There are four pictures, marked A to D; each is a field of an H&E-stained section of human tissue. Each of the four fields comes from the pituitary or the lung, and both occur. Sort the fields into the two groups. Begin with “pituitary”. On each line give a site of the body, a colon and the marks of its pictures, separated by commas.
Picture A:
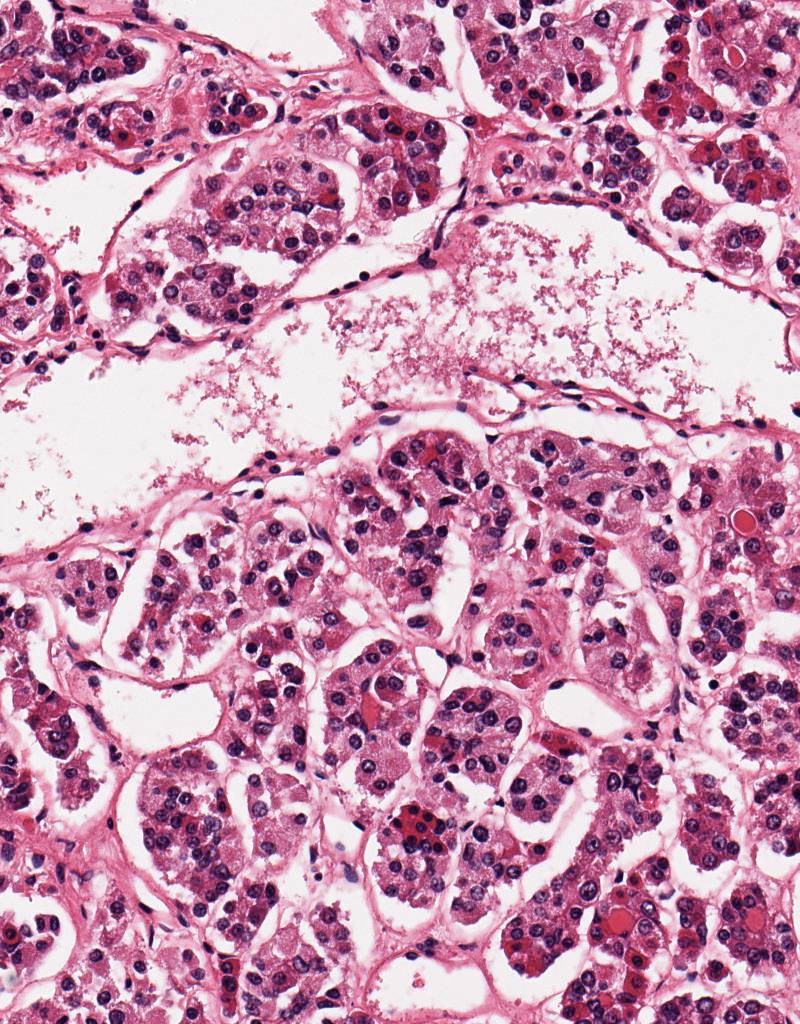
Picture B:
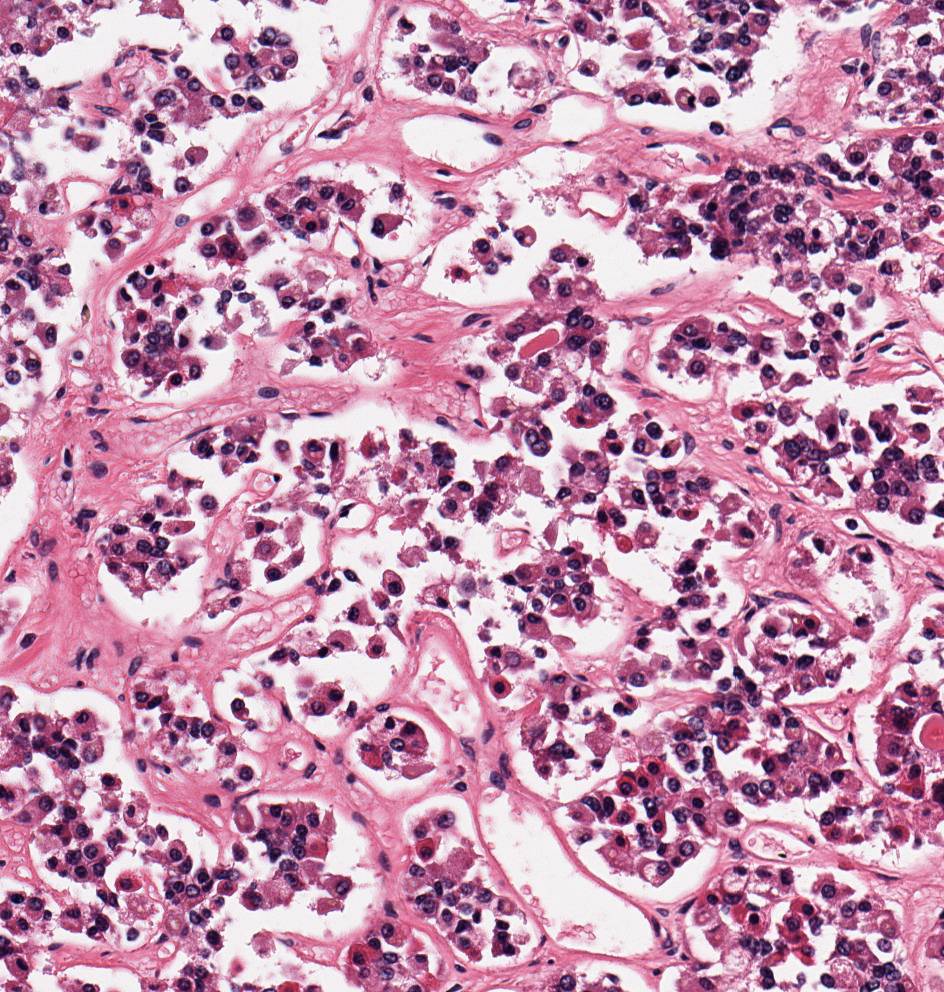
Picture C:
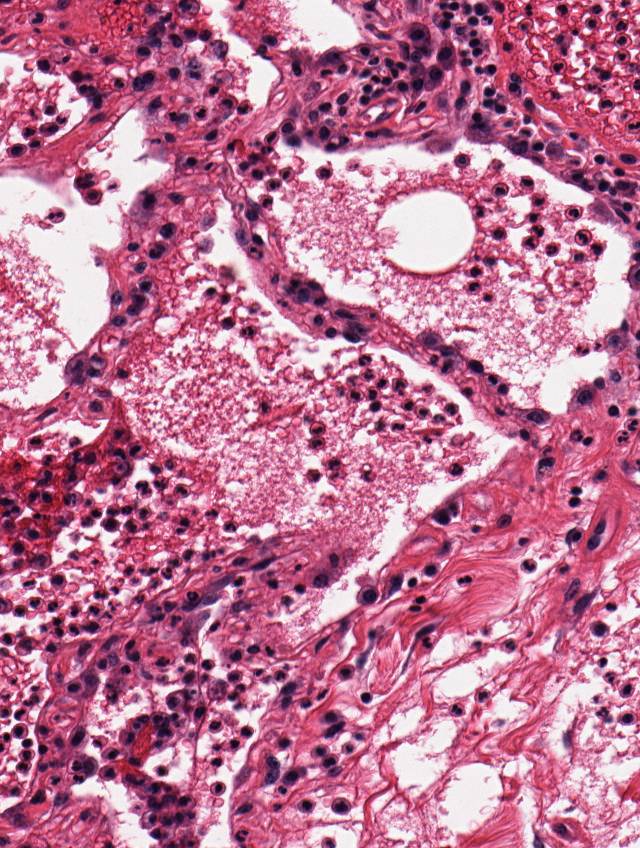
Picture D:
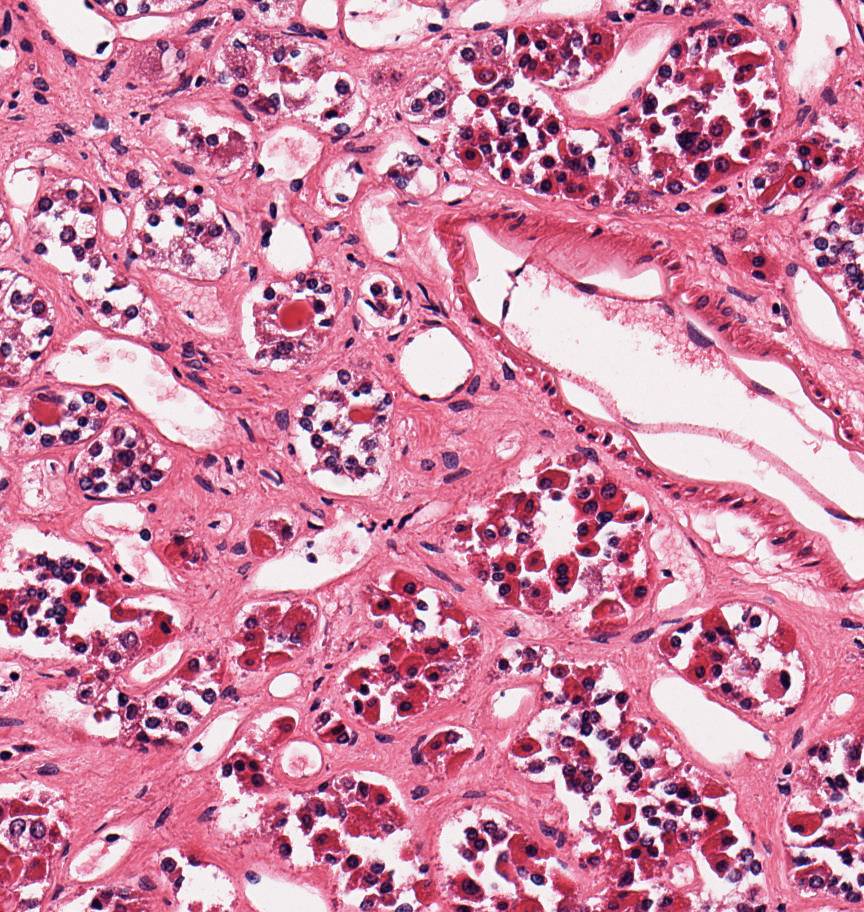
pituitary: A, B, D
lung: C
